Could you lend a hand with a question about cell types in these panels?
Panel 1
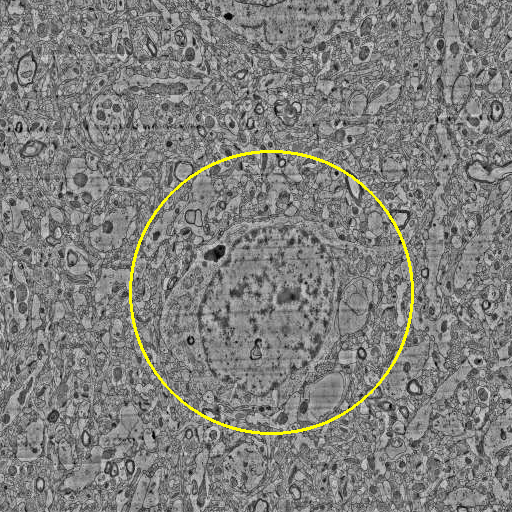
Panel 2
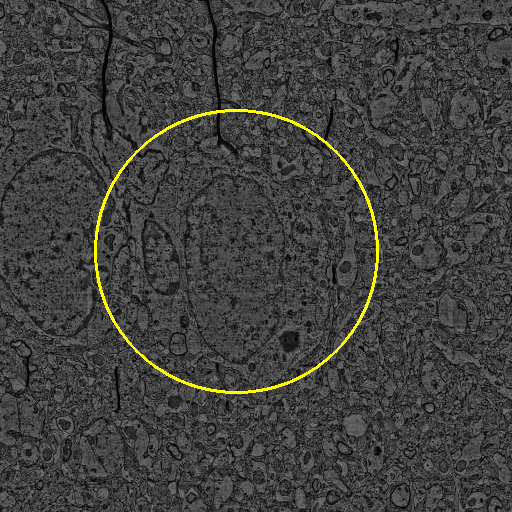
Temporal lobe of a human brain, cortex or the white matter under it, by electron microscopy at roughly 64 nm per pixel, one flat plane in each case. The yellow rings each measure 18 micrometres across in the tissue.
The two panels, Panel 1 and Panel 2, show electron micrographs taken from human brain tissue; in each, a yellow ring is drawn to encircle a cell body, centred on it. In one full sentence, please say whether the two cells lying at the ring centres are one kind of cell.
Yes, the cells at the ring centres in the two panels are one kind of cell.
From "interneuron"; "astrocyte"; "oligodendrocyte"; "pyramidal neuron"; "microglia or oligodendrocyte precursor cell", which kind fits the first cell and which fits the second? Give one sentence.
Both pictures show an interneuron at the centre of the ring.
